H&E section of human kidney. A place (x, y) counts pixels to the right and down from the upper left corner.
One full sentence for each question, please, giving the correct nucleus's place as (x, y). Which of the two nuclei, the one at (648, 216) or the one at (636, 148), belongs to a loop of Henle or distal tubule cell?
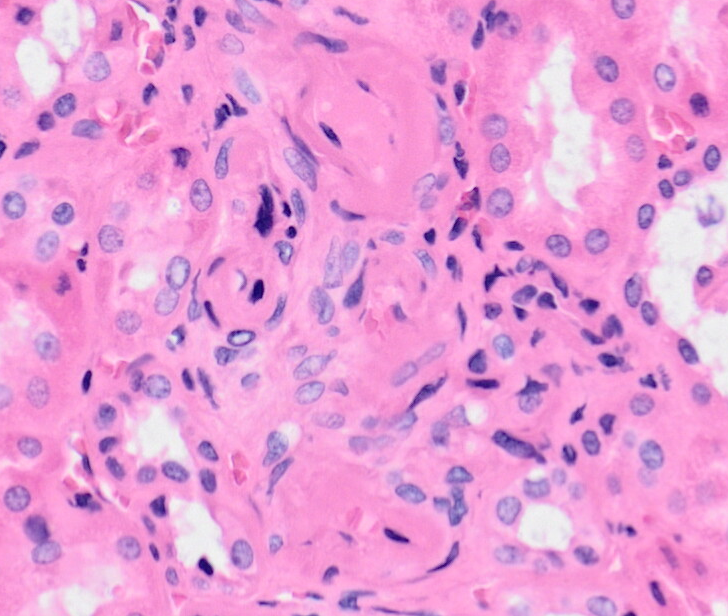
The nucleus of a loop of Henle or distal tubule cell is the one found at (648, 216), not the other.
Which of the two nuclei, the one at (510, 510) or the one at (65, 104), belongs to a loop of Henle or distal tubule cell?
The nucleus at (65, 104) is identified as belonging to a loop of Henle or distal tubule cell.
